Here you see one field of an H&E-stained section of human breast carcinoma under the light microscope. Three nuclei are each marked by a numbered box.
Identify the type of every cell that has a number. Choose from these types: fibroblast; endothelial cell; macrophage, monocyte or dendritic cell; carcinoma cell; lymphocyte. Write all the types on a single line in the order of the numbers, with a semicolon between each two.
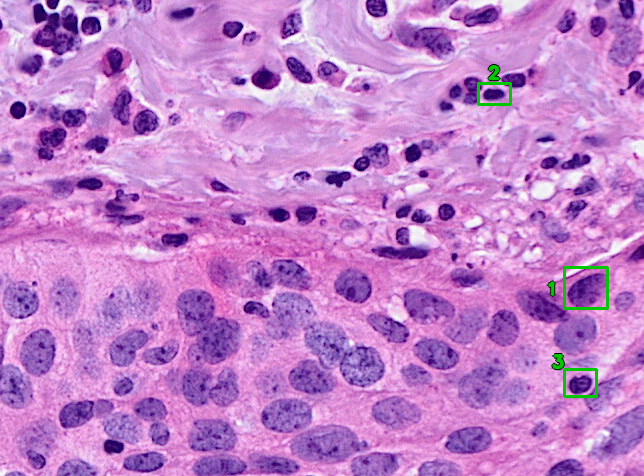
carcinoma cell; lymphocyte; lymphocyte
